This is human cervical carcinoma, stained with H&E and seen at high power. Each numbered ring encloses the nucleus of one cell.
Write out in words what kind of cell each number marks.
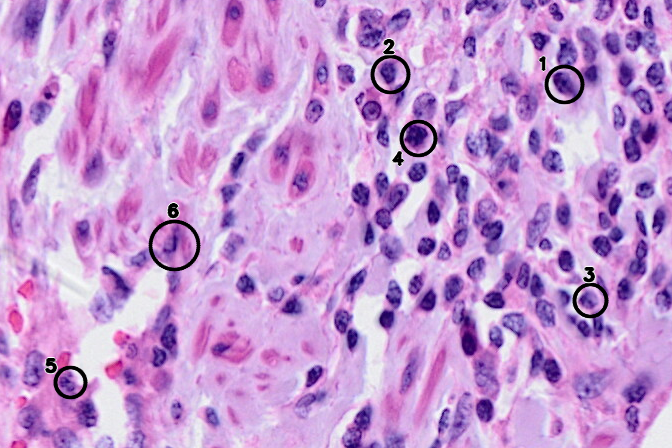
Cells 1, 2, 3 and 4 are lymphocytes. Cells 5 and 6 are endothelial cells.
